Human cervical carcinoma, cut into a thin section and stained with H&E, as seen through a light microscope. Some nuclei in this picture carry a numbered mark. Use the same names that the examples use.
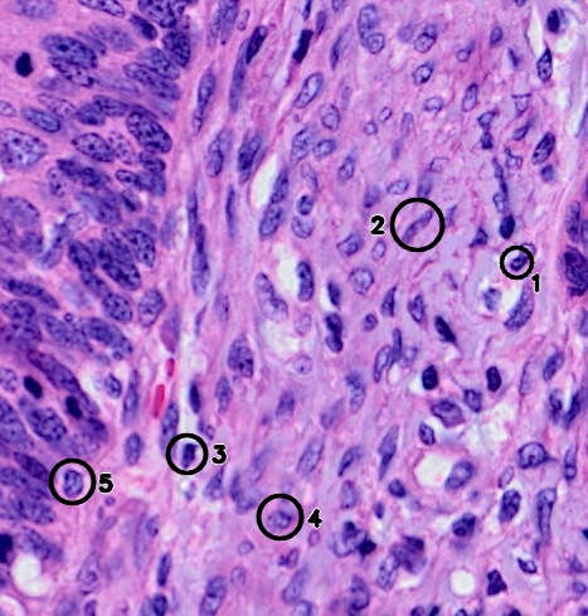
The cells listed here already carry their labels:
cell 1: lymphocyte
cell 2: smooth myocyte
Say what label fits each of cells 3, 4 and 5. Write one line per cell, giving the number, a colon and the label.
3: lymphocyte
4: smooth myocyte
5: lymphocyte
